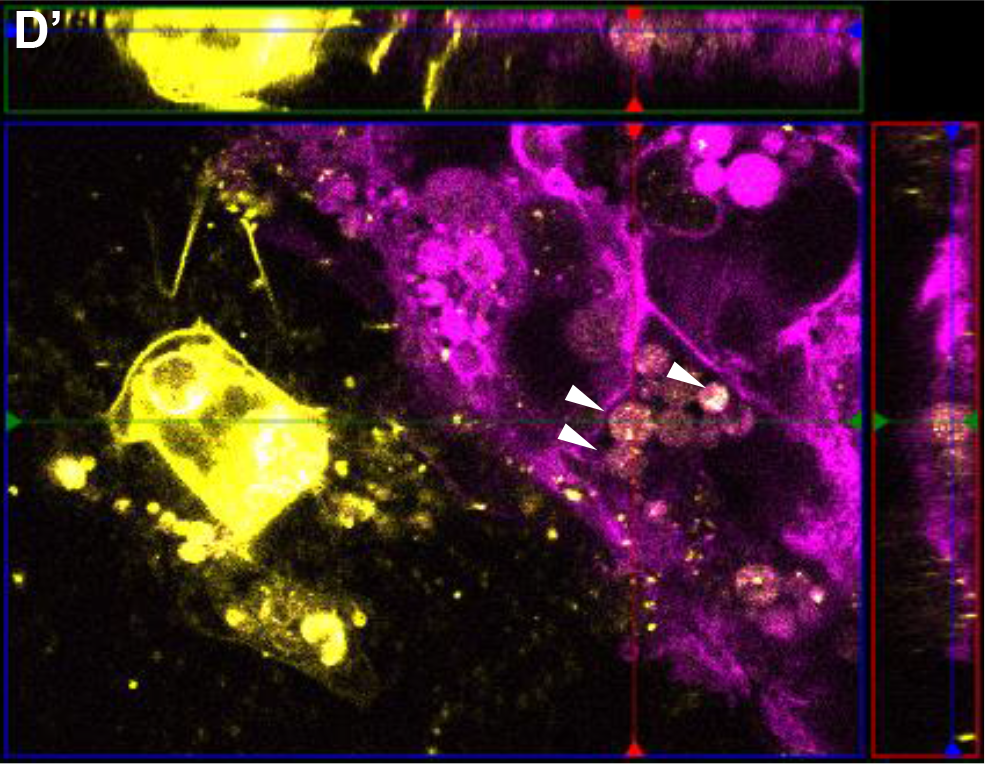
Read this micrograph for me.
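Around the yellow cell scatter many small yellow dots outside any cell. The thin strips at the top and right are side views through the stack, in which the yellow-filled compartment lies within the depth of the magenta cell.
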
